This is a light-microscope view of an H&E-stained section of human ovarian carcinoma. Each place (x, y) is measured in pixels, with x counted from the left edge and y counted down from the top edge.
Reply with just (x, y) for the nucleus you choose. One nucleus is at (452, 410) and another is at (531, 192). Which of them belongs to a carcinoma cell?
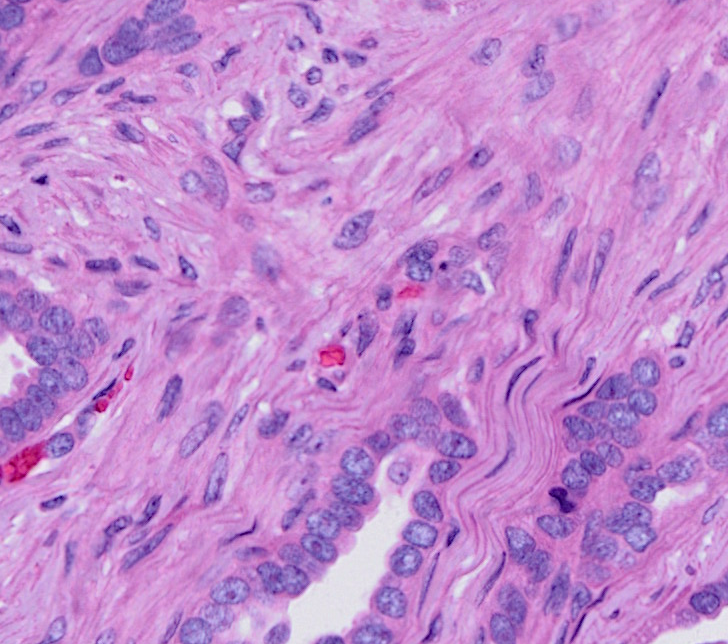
(452, 410)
